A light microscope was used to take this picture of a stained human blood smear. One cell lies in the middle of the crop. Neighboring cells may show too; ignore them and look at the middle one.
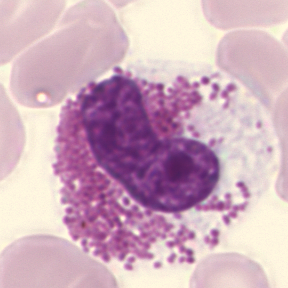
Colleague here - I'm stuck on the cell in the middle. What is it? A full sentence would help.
The cell at the centre of the field is an eosinophil.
